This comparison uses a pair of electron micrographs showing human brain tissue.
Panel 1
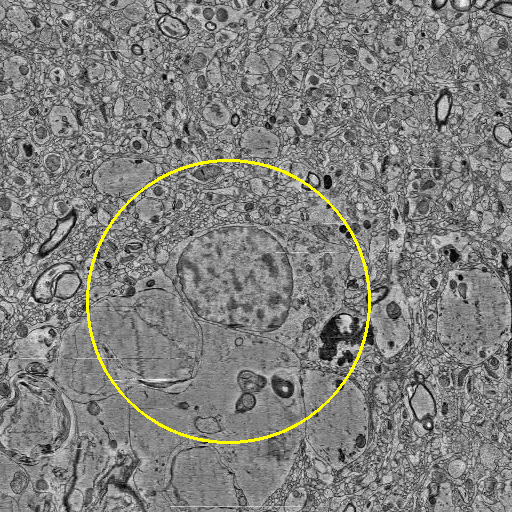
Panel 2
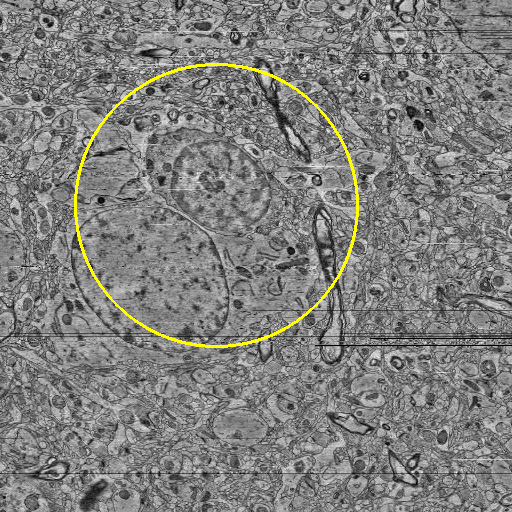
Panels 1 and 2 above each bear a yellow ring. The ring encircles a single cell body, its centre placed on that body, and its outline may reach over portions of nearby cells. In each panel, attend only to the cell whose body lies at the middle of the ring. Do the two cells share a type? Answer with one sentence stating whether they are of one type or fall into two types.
In Panel 1 and Panel 2, the cells at the centres of the rings are of one type.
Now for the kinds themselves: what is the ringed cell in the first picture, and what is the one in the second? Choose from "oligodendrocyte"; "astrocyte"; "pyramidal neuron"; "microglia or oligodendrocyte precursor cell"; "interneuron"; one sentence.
Each of the ringed cells, first and second, is an oligodendrocyte.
